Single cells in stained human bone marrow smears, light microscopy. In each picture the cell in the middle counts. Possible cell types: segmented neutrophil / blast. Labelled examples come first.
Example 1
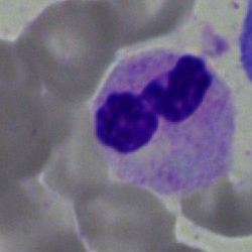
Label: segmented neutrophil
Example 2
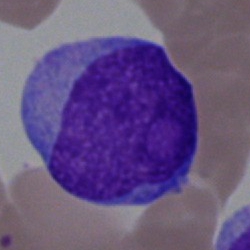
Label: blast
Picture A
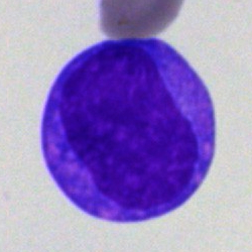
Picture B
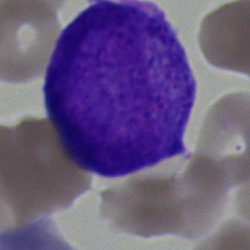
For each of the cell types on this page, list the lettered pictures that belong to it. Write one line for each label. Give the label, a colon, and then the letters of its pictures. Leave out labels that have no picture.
blast: A, B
